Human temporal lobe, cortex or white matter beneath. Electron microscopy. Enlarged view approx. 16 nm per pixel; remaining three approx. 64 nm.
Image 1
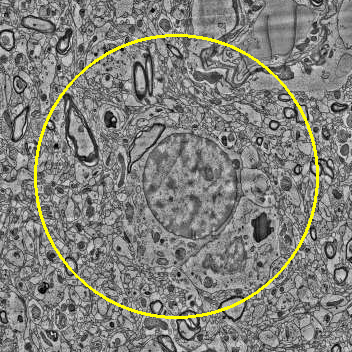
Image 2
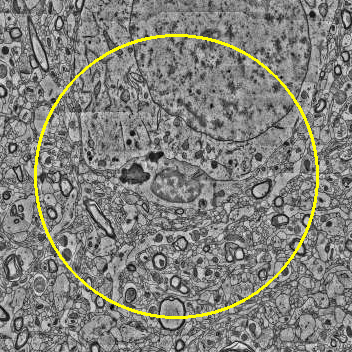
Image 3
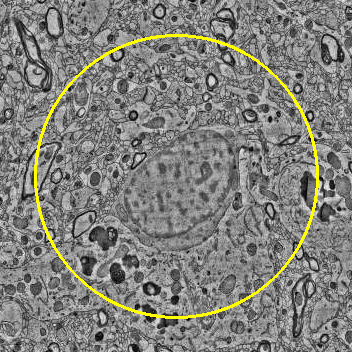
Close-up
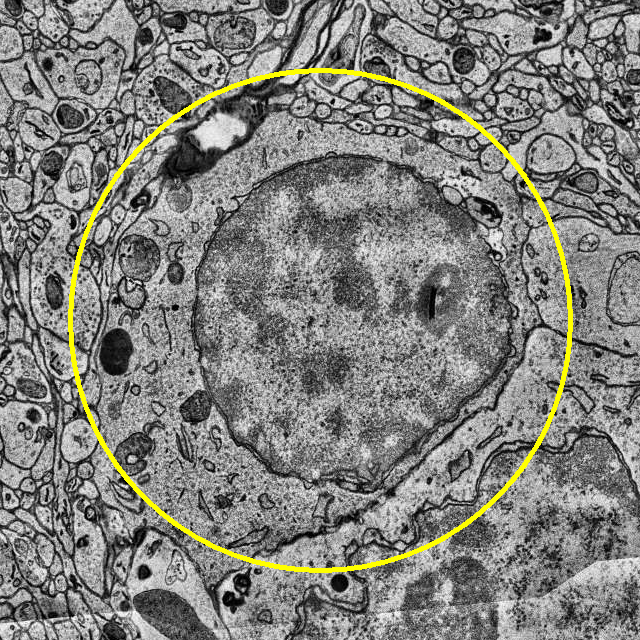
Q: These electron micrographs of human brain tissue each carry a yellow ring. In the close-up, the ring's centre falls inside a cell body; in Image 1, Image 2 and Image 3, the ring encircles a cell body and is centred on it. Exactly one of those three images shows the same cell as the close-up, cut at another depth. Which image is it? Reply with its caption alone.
Image 1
